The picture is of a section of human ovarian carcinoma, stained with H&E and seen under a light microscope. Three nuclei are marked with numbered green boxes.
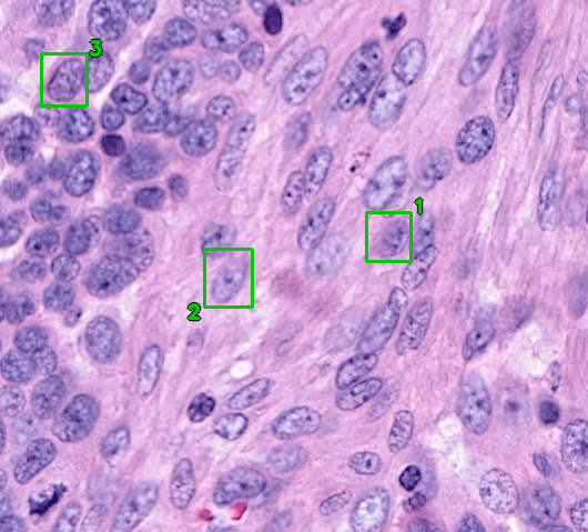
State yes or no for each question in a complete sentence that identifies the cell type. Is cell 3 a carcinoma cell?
Yes, the cell that the number 3 labels is a carcinoma cell.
